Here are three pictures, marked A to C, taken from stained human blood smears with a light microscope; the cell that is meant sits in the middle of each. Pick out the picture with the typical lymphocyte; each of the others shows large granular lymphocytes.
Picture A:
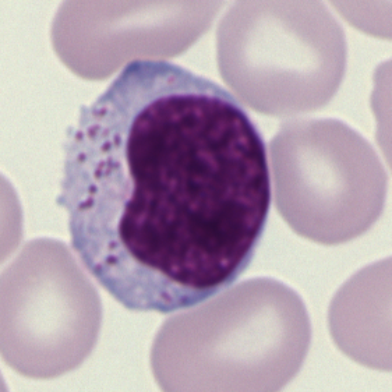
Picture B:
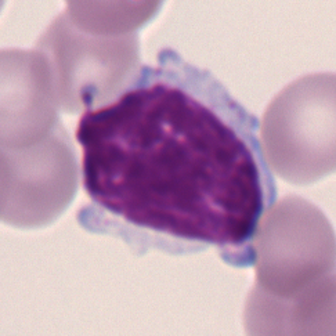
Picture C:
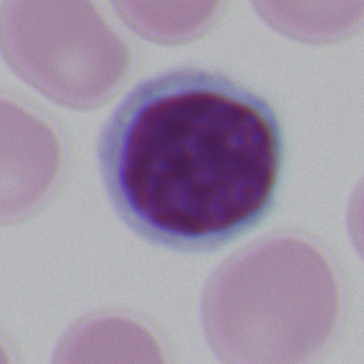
C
